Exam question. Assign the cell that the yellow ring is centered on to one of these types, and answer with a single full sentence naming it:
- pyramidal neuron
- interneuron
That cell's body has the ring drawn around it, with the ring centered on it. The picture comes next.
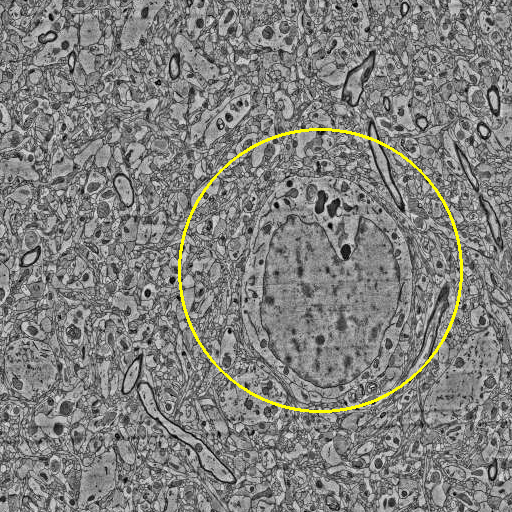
In the micrograph, the cell the yellow ring is centered on is an interneuron.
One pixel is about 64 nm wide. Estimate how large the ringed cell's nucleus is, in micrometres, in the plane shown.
In this plane the nucleus is about 11 micrometres by 9.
